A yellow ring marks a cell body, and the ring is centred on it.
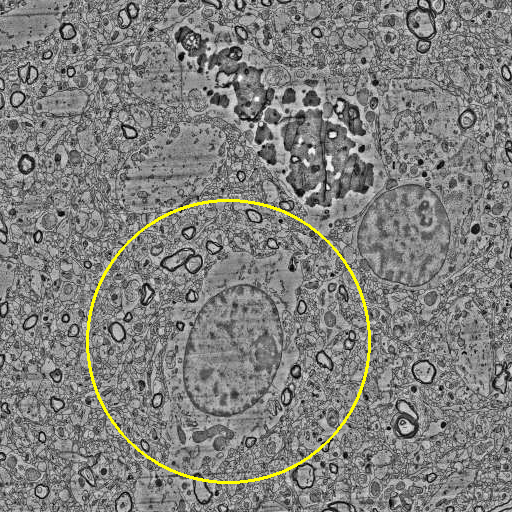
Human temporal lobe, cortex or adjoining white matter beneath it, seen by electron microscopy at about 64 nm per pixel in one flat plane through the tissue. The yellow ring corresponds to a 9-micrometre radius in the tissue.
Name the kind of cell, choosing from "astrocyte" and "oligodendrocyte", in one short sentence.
The marked cell body belongs to an astrocyte.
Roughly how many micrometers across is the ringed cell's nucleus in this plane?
In this plane the nucleus spans approximately 9 by 6 micrometers.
